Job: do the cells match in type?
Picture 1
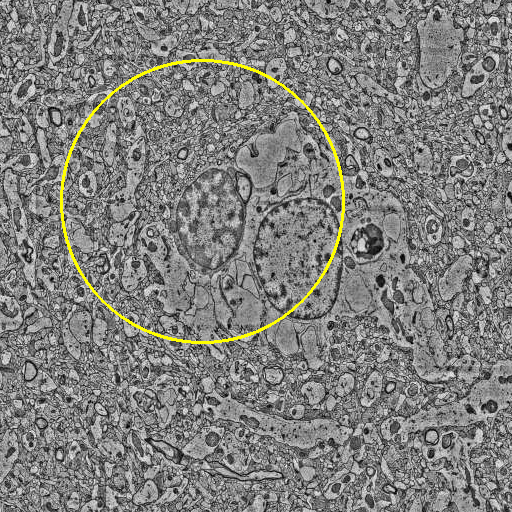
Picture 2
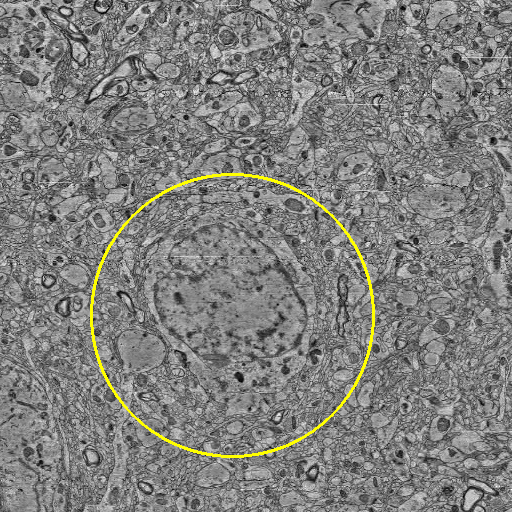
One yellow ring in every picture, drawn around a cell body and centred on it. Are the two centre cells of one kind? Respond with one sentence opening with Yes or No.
No, the ringed cells in the two pictures are of two separate kinds.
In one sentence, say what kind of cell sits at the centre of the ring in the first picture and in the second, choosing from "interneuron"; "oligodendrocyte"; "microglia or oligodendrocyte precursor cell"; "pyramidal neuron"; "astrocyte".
The first picture's ringed cell is an oligodendrocyte, while the second picture's is an interneuron.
